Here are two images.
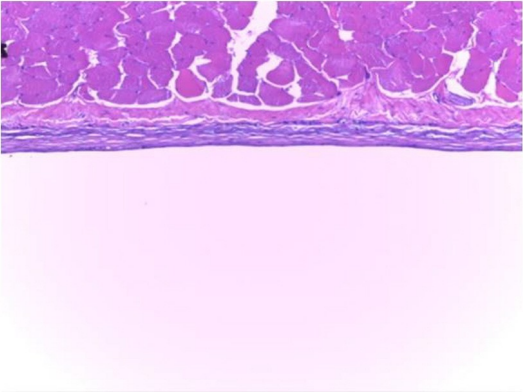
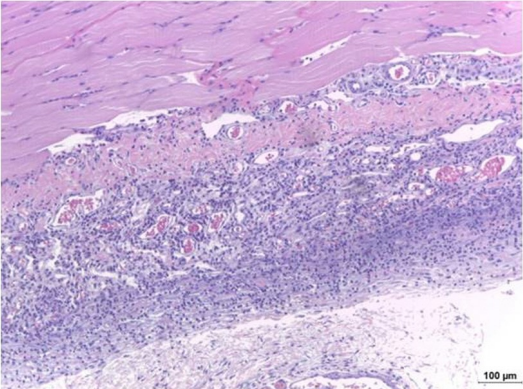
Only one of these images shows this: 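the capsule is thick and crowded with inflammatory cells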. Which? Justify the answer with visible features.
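First image: a thin layered fibrous band with few nuclei separates muscle from the empty space. Second image: a wide band packed with small dark nuclei and blood vessels lies beneath the muscle. On this evidence: the second image.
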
